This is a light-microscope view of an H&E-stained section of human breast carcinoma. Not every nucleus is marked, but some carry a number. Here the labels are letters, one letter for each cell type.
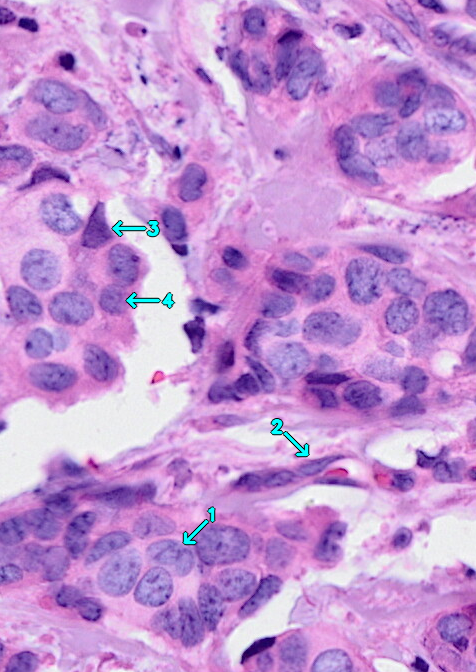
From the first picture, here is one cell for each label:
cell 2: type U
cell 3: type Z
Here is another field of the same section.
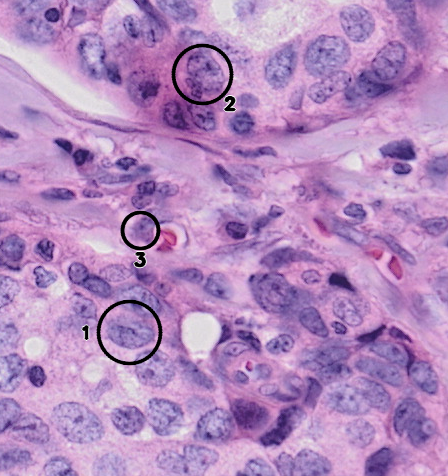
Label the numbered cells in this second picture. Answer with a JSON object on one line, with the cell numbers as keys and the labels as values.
{"1": "type Z", "2": "type Z", "3": "type U"}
